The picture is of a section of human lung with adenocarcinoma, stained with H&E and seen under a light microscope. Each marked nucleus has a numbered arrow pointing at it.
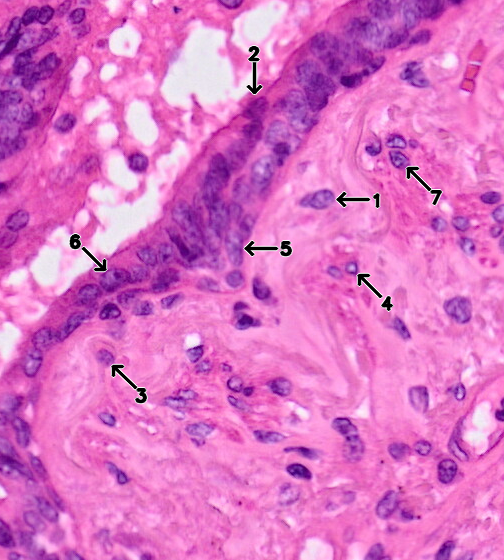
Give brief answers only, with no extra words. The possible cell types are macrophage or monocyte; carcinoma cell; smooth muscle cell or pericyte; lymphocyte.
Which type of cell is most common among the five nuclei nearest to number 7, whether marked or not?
smooth muscle cell or pericyte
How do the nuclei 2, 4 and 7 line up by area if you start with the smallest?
4, 7, 2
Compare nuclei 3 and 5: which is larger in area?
5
